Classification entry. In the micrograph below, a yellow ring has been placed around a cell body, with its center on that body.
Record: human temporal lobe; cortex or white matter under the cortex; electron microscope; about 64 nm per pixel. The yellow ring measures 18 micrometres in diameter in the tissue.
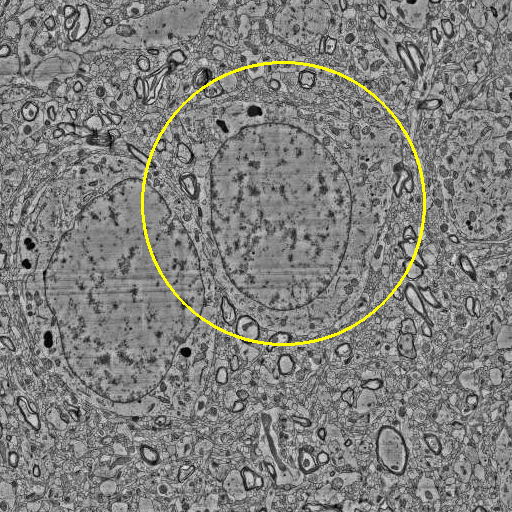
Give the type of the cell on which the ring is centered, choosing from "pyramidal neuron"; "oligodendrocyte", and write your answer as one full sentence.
The cell body at the center of the yellow ring belongs to a pyramidal neuron.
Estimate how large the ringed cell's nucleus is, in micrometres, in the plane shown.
Approximately 12 by 9 micrometers in this plane.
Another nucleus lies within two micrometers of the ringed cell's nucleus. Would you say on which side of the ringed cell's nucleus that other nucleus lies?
That other nucleus is to the lower left of it.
